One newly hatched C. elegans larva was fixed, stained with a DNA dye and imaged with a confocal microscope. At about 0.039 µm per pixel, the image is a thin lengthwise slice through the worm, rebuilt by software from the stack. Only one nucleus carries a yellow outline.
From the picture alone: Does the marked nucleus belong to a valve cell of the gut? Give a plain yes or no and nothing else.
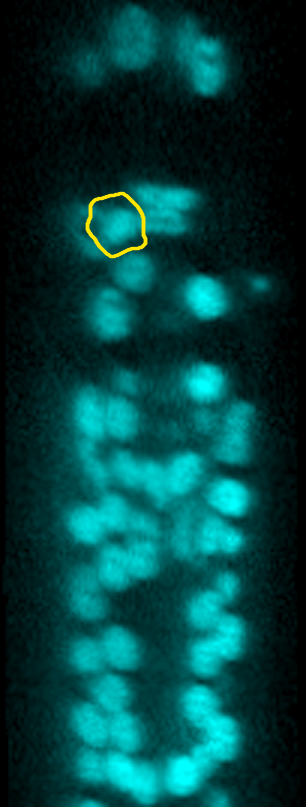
yes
